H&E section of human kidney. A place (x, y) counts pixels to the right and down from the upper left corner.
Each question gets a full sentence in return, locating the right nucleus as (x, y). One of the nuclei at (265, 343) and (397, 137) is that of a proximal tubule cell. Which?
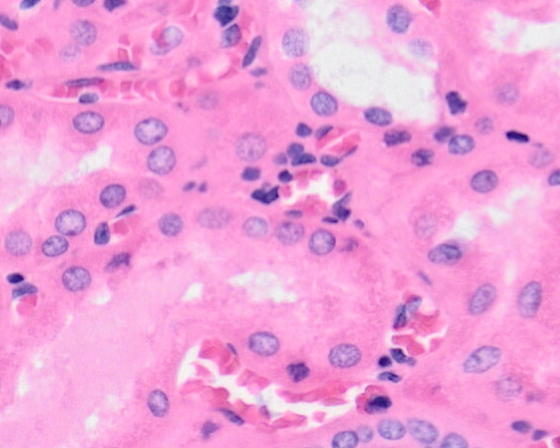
In this pair, the nucleus at (265, 343) belongs to a proximal tubule cell.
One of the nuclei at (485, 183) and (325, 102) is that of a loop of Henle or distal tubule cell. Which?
Housed in a loop of Henle or distal tubule cell is the nucleus at (325, 102), not the other one.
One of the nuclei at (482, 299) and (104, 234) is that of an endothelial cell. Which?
Of the two, the nucleus lying at (104, 234) is the one belonging to an endothelial cell.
